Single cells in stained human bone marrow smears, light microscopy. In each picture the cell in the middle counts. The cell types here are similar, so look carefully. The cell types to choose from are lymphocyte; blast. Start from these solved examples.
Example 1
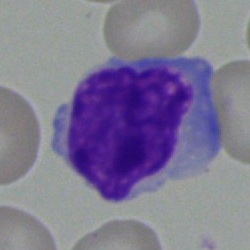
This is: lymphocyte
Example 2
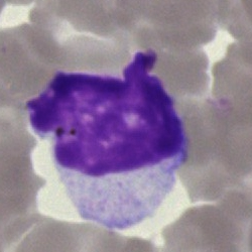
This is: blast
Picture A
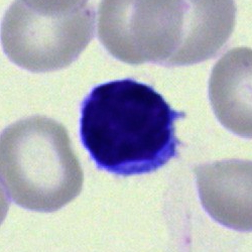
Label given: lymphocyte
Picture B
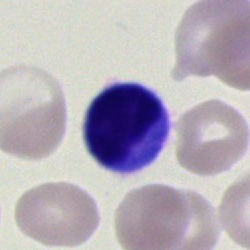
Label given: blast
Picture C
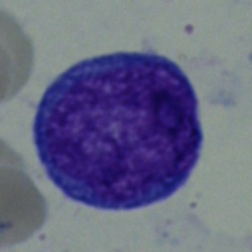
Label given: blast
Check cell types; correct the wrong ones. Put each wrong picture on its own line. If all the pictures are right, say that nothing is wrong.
B should be lymphocyte, not blast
